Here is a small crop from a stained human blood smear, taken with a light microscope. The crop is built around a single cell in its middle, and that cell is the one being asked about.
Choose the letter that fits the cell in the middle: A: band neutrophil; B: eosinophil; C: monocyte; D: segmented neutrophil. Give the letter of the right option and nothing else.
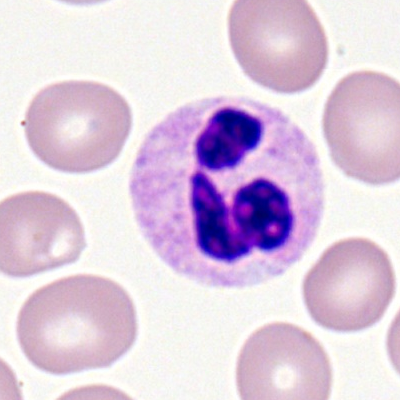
D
